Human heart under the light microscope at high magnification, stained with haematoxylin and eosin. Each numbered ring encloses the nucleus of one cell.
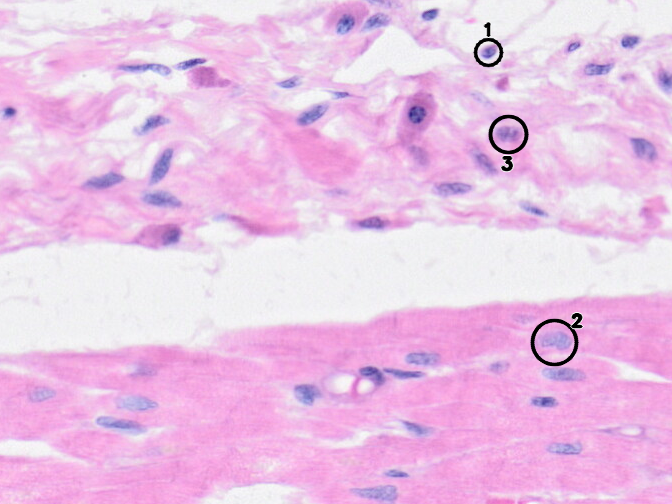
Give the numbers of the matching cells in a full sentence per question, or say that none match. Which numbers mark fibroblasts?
Each of the cells numbered 1 and 3 is among the fibroblasts.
